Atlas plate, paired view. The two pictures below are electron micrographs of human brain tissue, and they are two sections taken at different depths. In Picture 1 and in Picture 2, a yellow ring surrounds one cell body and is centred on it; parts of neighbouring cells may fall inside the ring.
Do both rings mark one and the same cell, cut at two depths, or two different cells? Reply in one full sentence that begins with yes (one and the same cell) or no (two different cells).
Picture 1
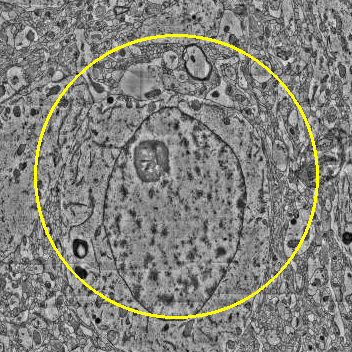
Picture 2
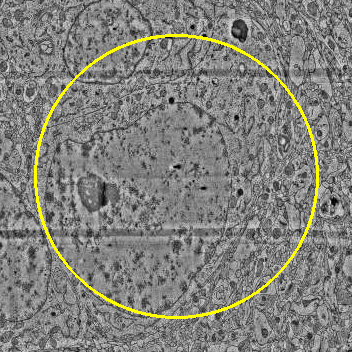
No, the two rings were placed on two different cells.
